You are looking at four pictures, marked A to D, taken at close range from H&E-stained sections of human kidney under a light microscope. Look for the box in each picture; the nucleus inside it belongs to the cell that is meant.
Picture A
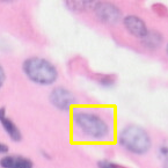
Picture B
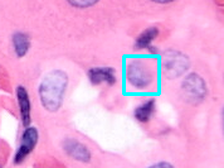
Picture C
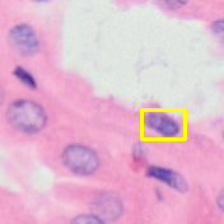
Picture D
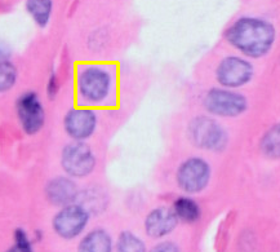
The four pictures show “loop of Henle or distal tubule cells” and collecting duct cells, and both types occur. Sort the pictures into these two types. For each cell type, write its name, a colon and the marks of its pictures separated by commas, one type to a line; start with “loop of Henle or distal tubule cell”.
loop of Henle or distal tubule cell: C
collecting duct cell: A, B, D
